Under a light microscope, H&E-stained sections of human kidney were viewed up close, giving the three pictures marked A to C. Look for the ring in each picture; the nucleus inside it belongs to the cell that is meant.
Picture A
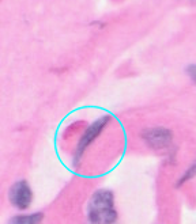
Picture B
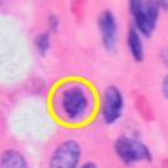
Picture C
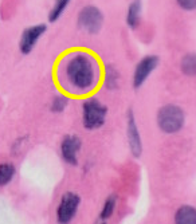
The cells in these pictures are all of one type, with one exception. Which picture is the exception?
A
